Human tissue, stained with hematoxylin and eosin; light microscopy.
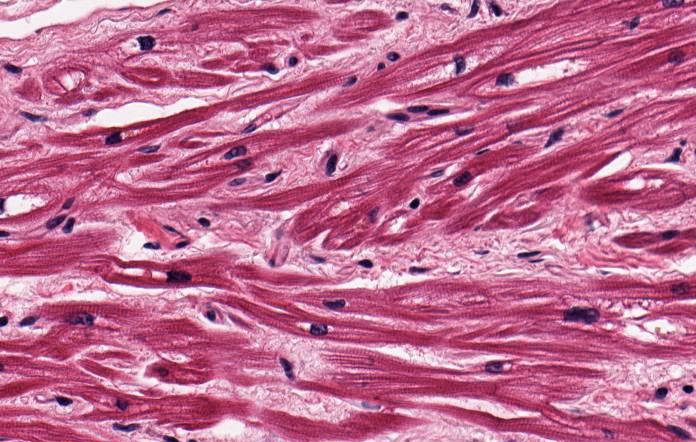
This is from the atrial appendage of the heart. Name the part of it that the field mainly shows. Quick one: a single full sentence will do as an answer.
The tissue component on view in this section is named myocardium.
